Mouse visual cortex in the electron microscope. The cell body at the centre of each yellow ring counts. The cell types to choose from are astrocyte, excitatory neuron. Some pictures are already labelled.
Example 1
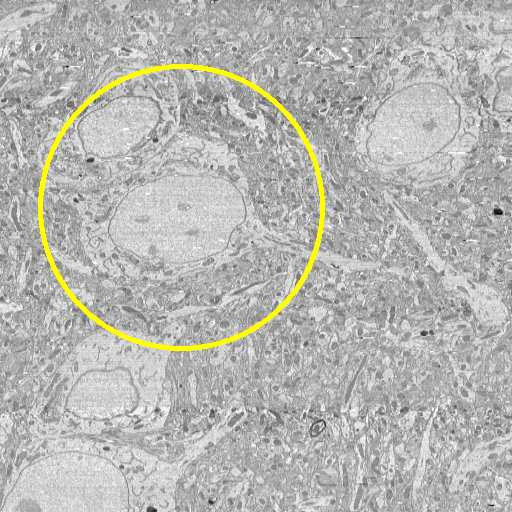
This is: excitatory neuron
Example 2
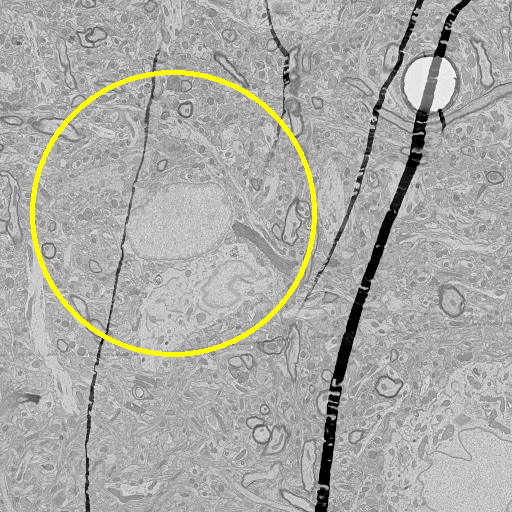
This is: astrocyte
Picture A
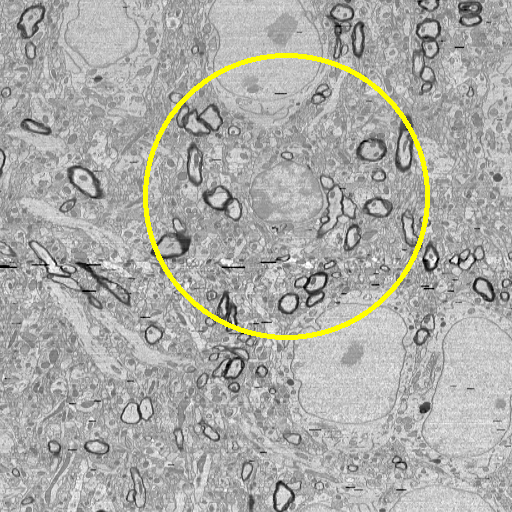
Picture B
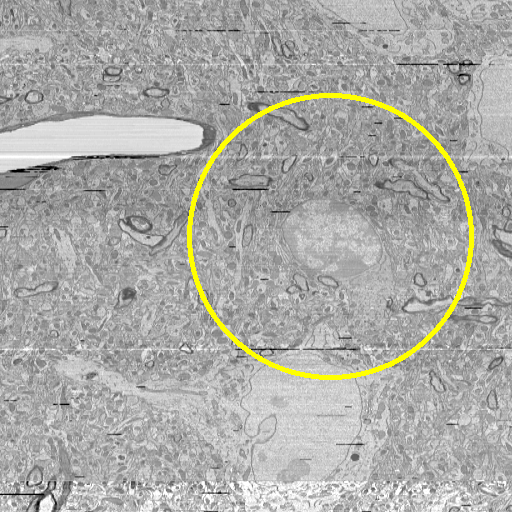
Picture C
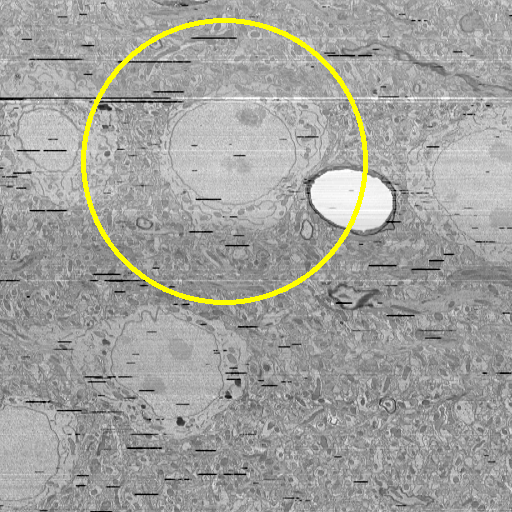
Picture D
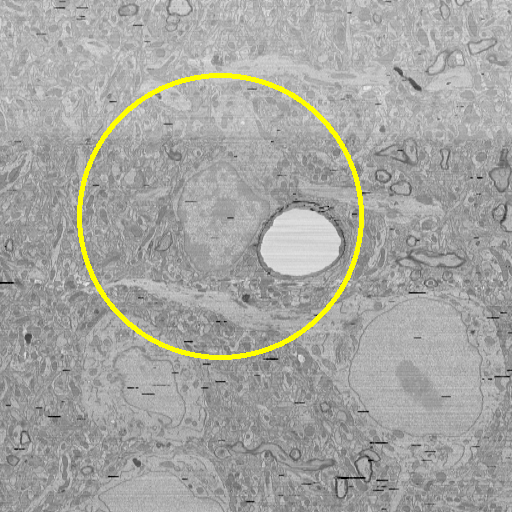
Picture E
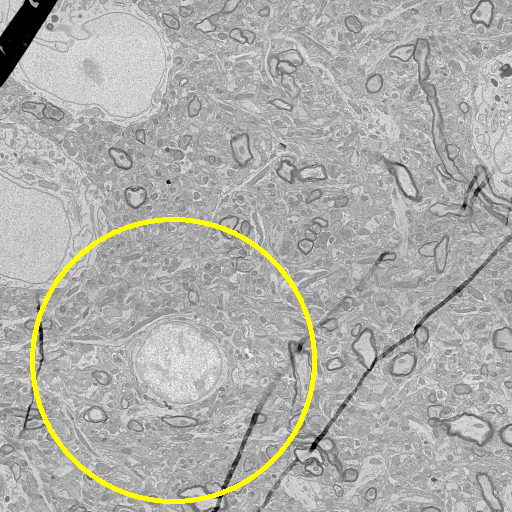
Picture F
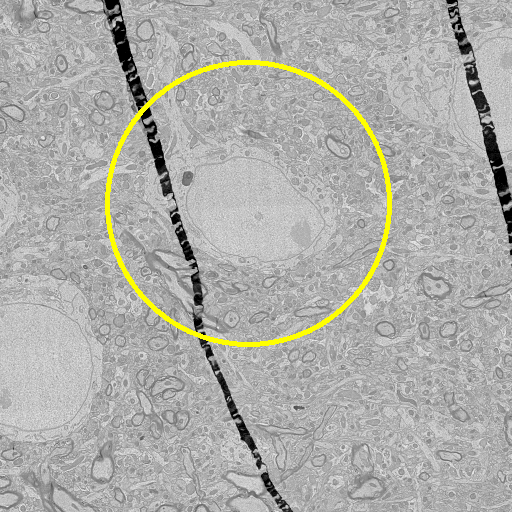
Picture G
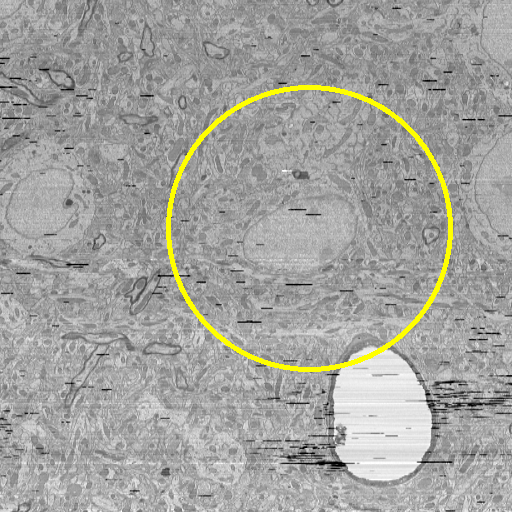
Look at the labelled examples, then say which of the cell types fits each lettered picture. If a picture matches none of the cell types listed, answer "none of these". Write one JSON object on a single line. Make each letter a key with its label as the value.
{"A": "none of these", "B": "none of these", "C": "excitatory neuron", "D": "none of these", "E": "none of these", "F": "excitatory neuron", "G": "astrocyte"}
